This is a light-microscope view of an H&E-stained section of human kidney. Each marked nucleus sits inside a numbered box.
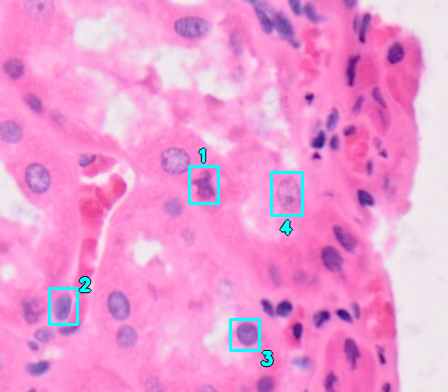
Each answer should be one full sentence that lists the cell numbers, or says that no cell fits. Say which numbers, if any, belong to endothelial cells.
Of the cells marked with numbers, cell 2 is the only one that is an endothelial cell.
